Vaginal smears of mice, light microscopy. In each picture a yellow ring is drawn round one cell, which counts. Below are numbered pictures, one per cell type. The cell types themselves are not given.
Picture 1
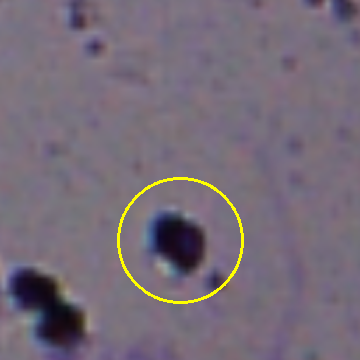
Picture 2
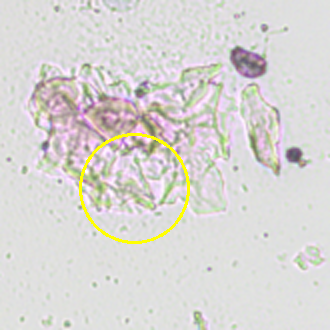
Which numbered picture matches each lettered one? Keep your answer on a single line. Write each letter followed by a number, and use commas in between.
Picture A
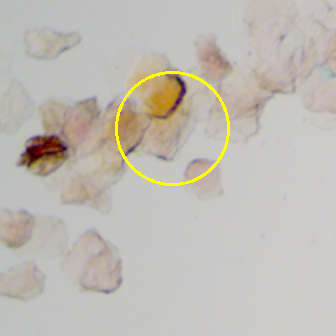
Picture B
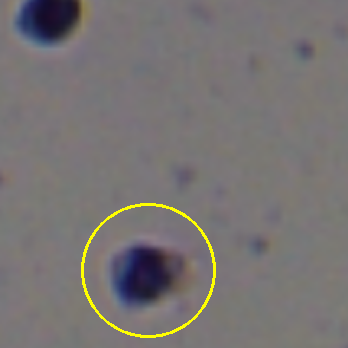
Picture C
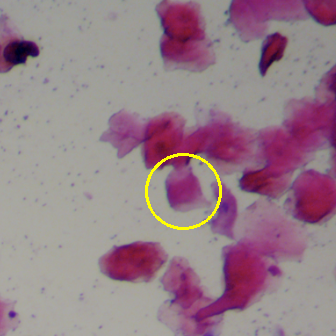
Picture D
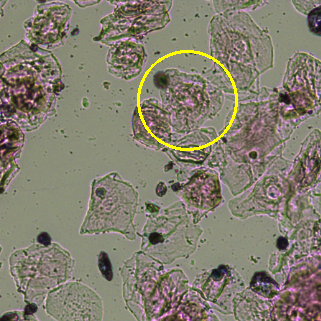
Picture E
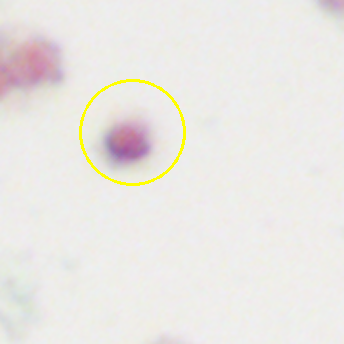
A 2, B 1, C 2, D 2, E 1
